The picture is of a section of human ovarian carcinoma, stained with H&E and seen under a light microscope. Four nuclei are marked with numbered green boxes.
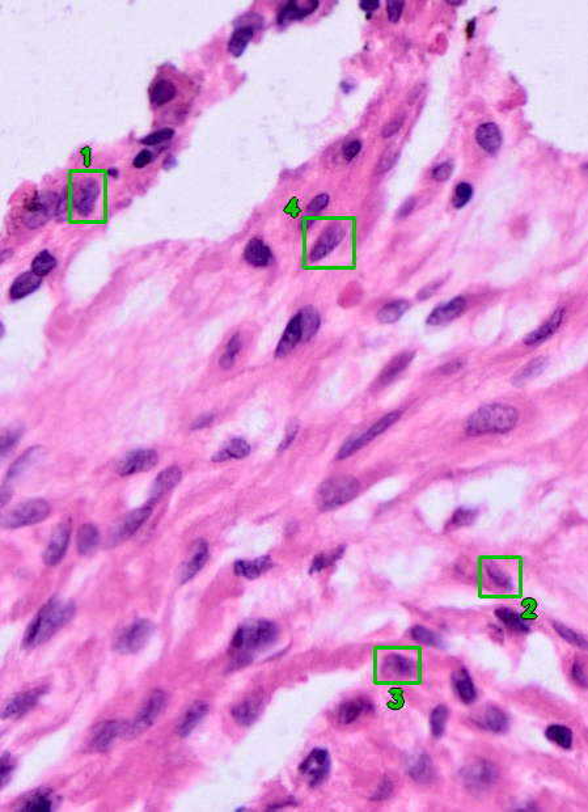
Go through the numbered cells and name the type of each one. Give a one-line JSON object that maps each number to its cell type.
{"1": "macrophage or monocyte", "2": "fibroblast", "3": "fibroblast", "4": "fibroblast"}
